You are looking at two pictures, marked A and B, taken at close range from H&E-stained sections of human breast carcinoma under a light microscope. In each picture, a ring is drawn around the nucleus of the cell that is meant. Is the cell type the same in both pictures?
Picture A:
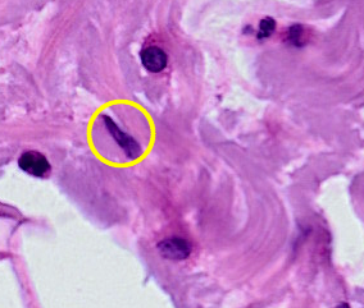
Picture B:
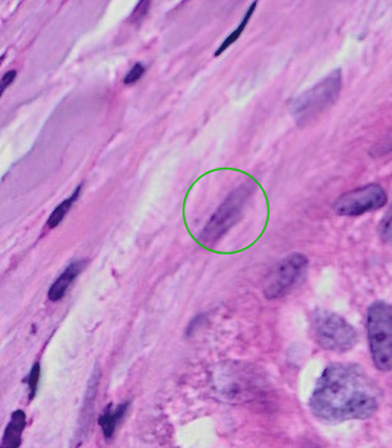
yes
